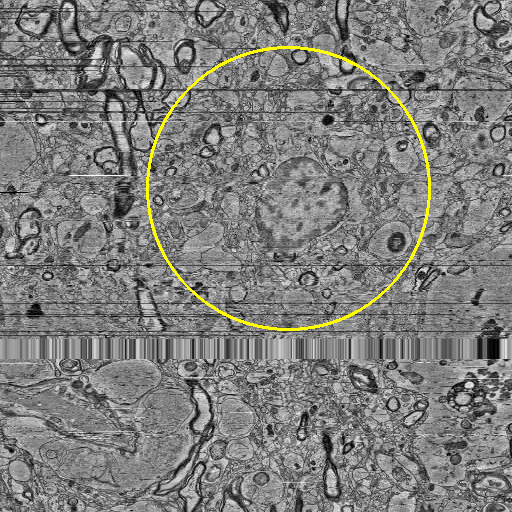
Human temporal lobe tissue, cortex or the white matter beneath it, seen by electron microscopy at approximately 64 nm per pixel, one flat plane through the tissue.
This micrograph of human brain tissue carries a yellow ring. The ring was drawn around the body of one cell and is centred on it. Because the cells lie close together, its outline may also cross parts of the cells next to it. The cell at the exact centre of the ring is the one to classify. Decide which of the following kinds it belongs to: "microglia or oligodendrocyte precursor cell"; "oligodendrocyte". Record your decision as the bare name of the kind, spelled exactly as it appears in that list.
microglia or oligodendrocyte precursor cell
